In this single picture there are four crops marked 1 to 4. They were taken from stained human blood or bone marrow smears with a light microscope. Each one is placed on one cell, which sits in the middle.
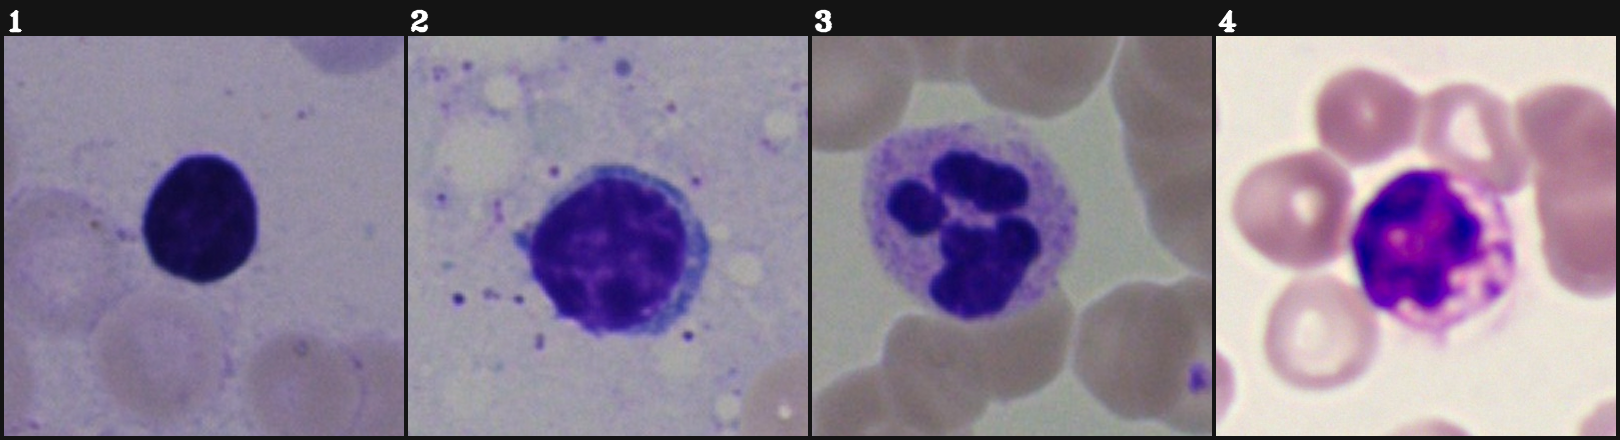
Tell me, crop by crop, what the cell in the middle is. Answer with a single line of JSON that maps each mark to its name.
{"1": "lymphocyte", "2": "lymphocyte", "3": "segmented neutrophil", "4": "segmented neutrophil"}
